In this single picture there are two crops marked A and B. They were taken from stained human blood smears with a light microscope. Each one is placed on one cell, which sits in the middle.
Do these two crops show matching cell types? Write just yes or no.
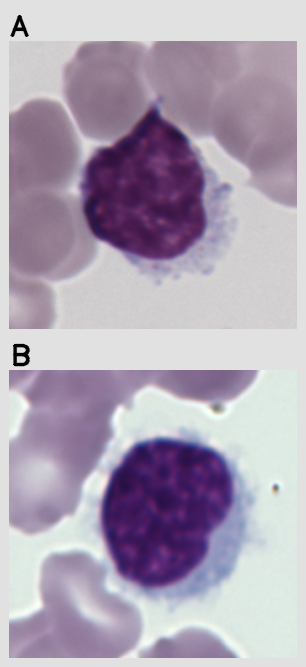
no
